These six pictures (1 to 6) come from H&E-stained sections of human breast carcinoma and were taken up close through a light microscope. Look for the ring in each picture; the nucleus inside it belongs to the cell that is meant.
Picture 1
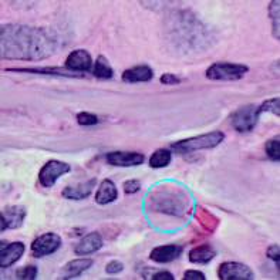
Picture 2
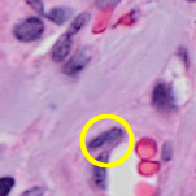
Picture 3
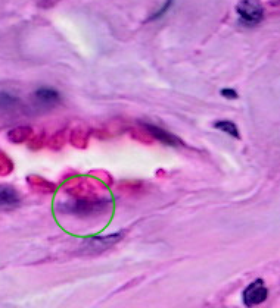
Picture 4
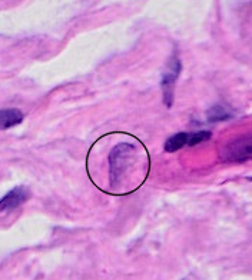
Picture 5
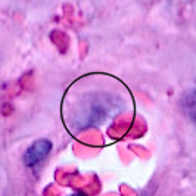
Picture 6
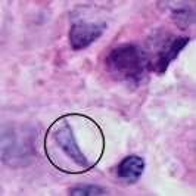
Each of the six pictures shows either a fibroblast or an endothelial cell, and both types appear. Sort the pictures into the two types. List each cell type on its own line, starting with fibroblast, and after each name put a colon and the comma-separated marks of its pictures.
fibroblast: 4, 6
endothelial cell: 1, 2, 3, 5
